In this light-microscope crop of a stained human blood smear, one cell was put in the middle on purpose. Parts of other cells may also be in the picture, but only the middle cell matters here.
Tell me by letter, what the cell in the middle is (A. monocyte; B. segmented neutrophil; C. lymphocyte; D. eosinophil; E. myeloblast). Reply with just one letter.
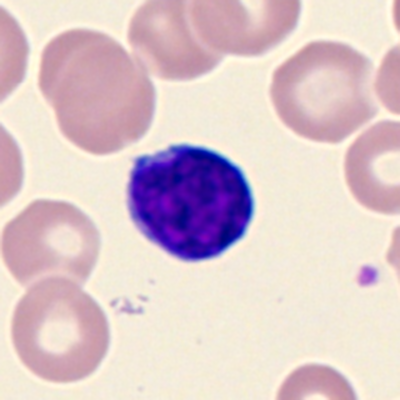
C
